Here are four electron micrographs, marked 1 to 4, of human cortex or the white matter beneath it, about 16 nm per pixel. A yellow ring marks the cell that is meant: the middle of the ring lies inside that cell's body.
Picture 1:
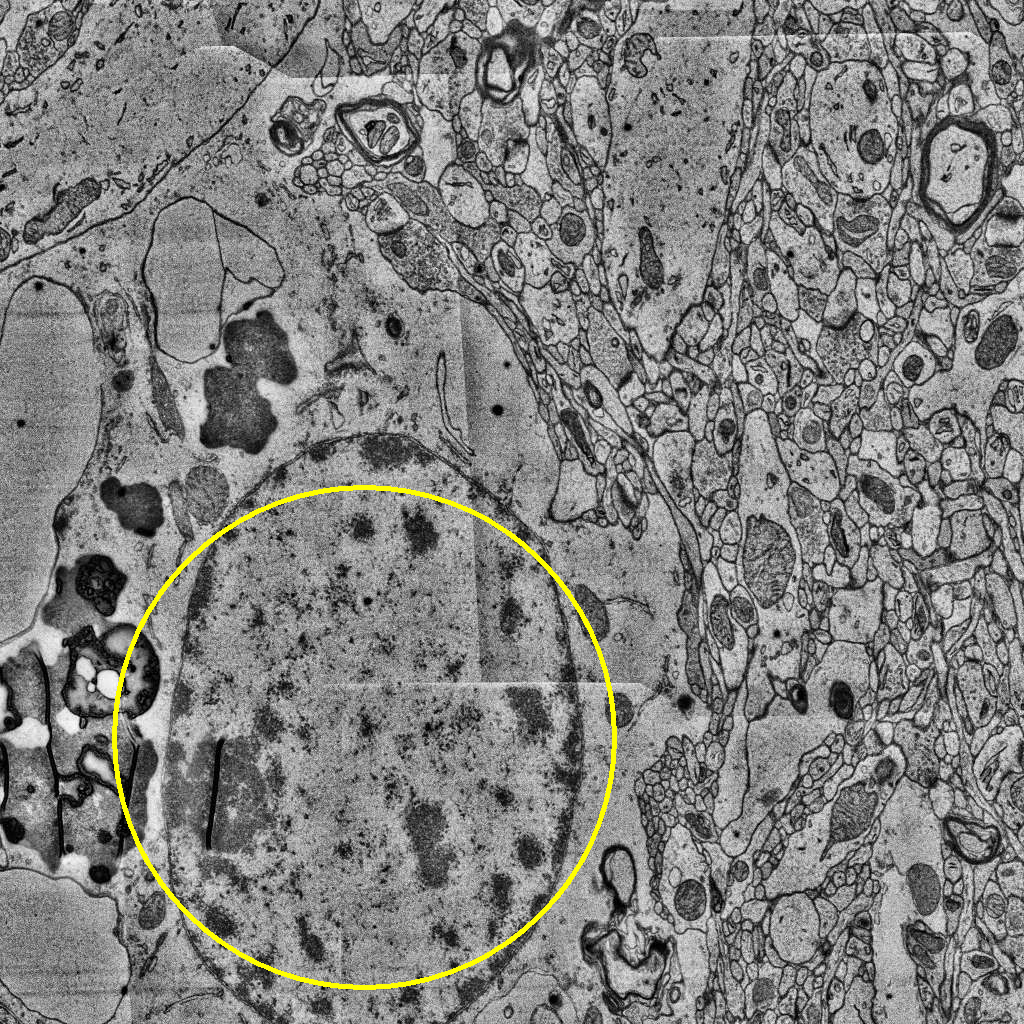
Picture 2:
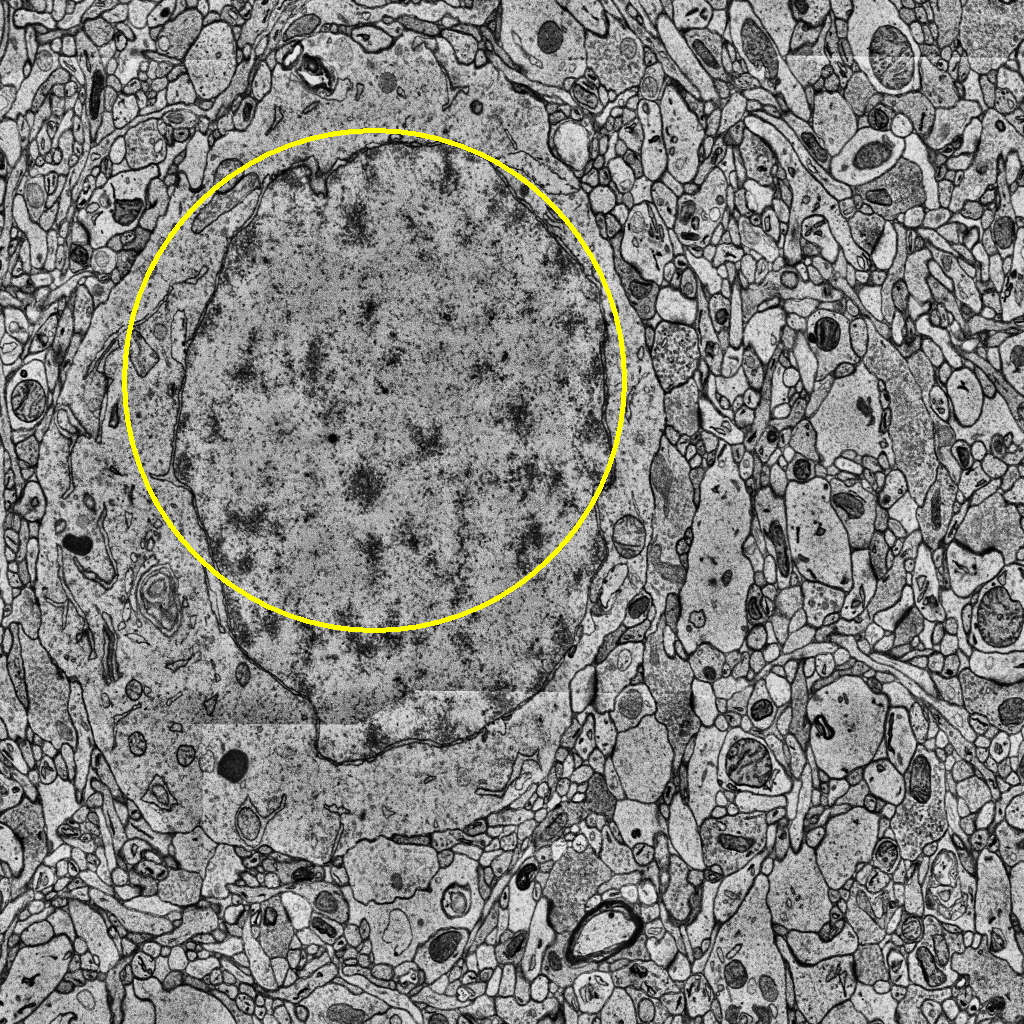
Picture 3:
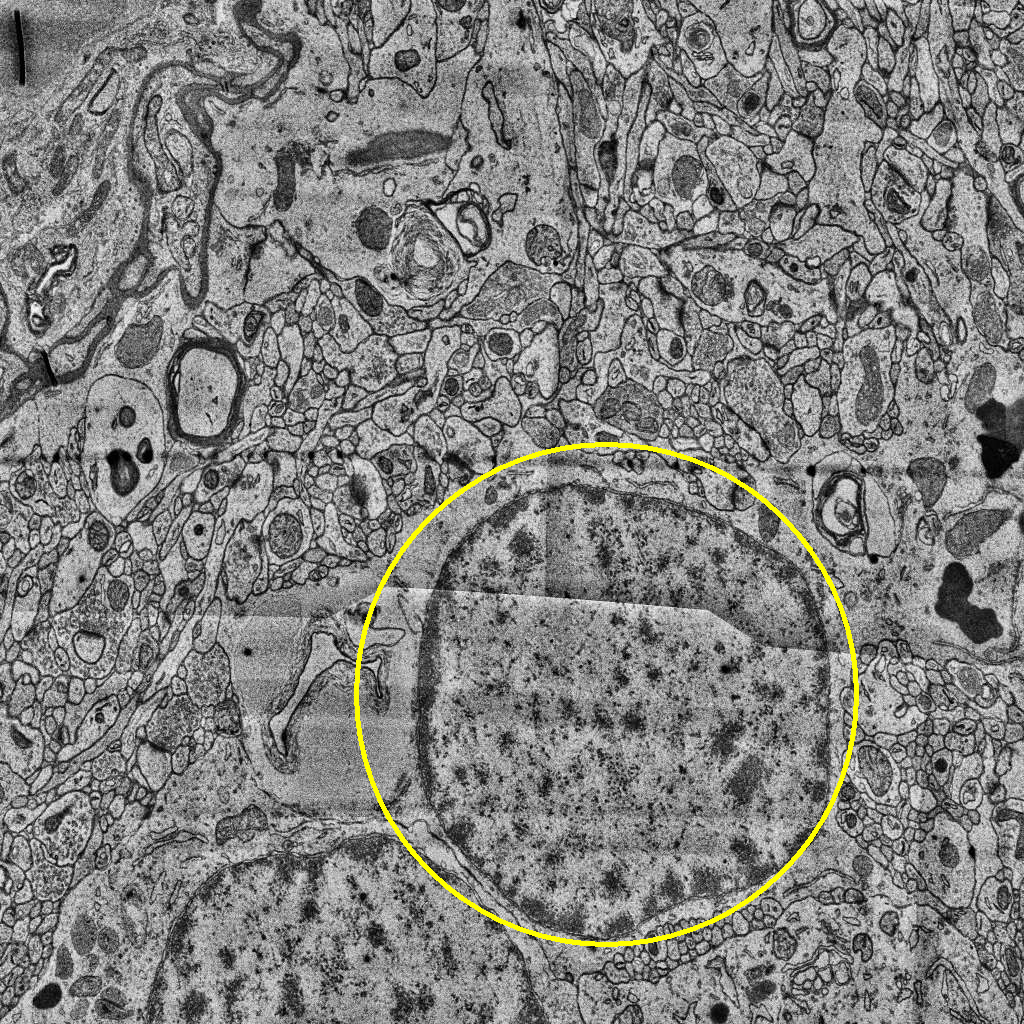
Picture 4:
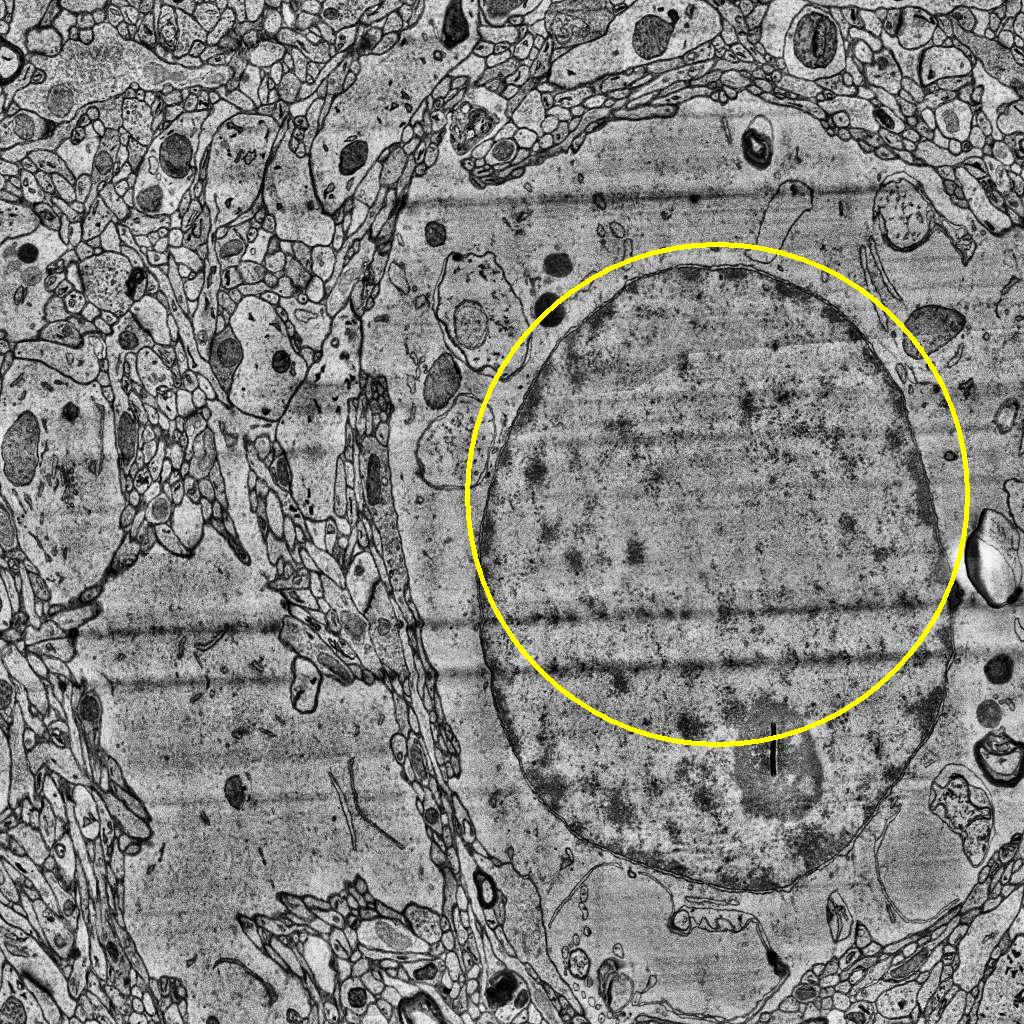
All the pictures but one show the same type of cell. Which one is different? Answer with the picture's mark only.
2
